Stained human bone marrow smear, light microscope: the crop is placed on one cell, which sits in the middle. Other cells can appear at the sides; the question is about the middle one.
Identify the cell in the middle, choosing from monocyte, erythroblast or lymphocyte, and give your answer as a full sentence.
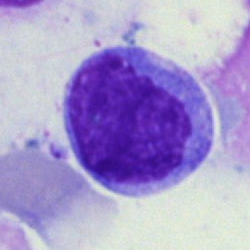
Classified as a monocyte is the cell in the middle of this crop.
